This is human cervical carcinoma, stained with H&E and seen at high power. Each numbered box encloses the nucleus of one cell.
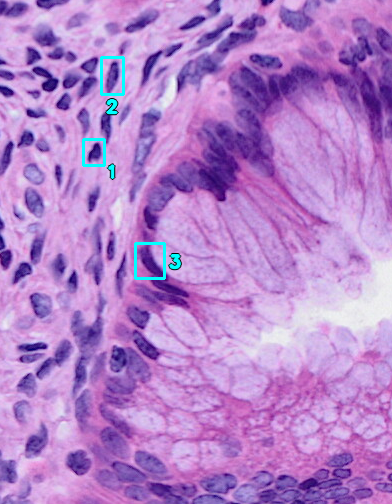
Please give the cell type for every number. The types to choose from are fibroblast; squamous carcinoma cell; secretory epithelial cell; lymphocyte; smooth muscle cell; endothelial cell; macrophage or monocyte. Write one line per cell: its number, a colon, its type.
1: fibroblast
2: fibroblast
3: secretory epithelial cell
